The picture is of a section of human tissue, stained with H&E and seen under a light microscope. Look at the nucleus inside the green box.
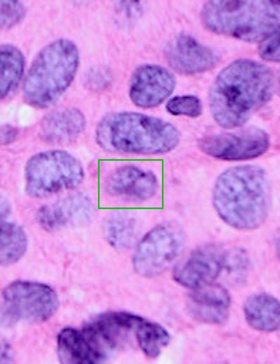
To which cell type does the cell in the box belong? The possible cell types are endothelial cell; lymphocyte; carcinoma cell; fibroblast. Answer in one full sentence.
In this section, the cell in the box is a carcinoma cell.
